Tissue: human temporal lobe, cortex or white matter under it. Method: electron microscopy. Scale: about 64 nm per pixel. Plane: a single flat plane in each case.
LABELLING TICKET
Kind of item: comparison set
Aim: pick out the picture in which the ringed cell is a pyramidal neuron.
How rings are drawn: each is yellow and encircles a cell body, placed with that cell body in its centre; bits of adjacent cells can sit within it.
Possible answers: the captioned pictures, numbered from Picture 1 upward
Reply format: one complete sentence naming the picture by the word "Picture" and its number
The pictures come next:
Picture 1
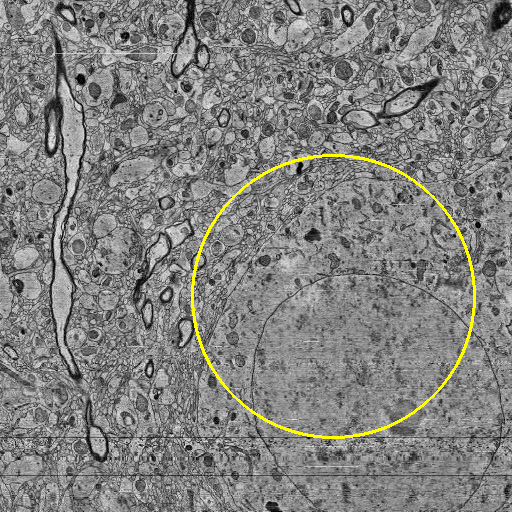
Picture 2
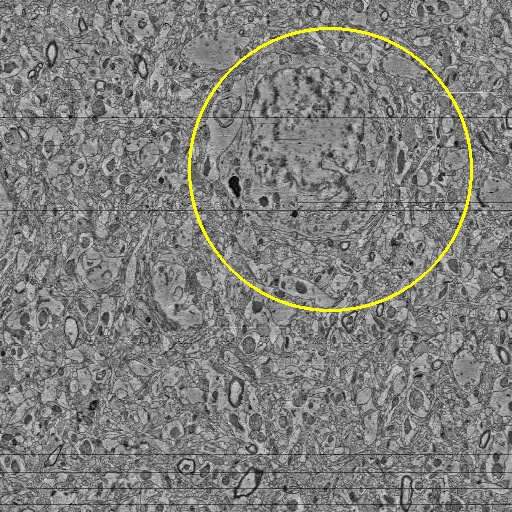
The cell centred inside the yellow ring in Picture 1 is the requested one.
